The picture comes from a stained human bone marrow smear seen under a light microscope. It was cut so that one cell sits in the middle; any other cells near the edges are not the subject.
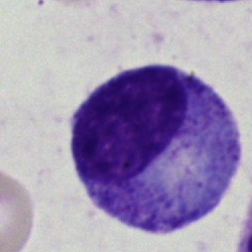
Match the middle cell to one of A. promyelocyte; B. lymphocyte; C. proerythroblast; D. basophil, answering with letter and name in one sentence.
In the middle of the crop is a promyelocyte; option A is therefore correct.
